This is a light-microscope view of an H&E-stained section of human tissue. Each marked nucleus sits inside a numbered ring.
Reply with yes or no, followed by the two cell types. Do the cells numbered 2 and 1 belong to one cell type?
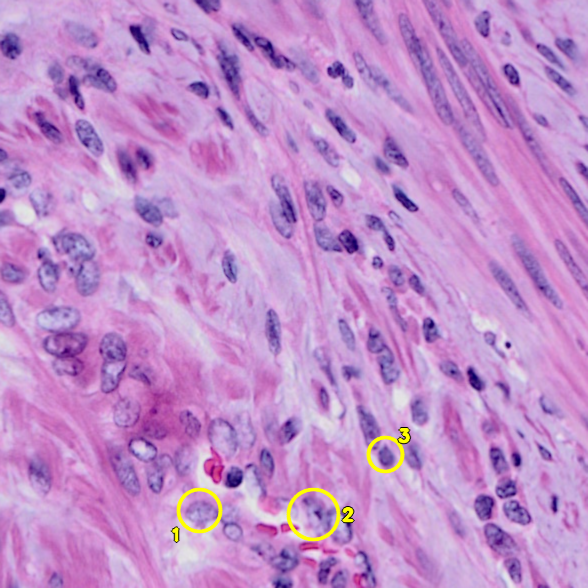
Yes, both of the numbered cells concerned, 2 and 1, are endothelial cells.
